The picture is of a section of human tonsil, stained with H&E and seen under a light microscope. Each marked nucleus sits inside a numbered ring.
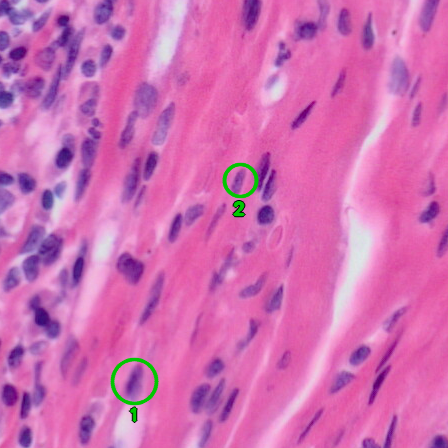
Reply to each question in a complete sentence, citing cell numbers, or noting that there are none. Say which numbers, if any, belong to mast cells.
Only the cell numbered 2 is a mast cell, and the others are something else.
